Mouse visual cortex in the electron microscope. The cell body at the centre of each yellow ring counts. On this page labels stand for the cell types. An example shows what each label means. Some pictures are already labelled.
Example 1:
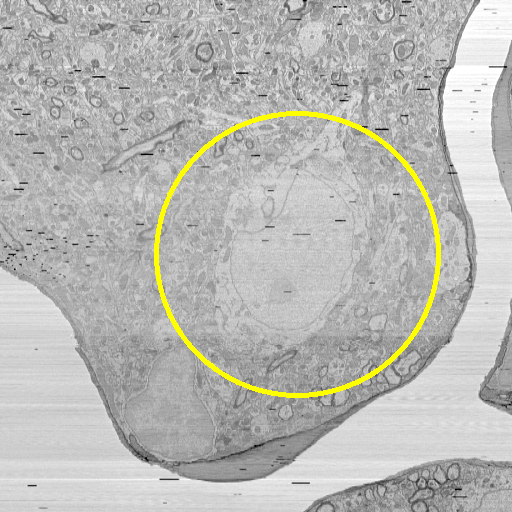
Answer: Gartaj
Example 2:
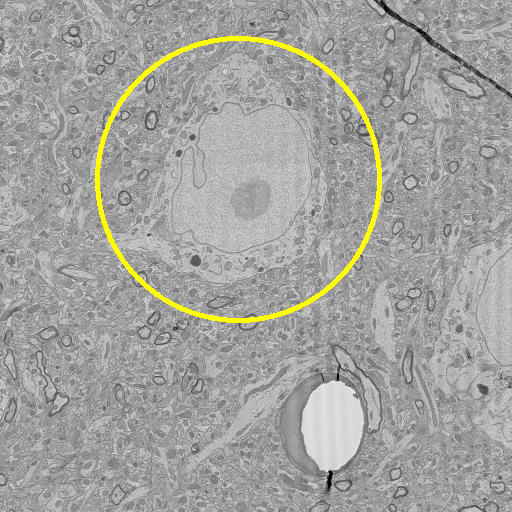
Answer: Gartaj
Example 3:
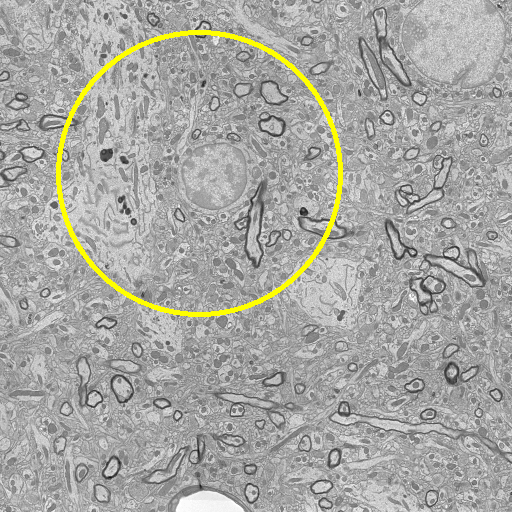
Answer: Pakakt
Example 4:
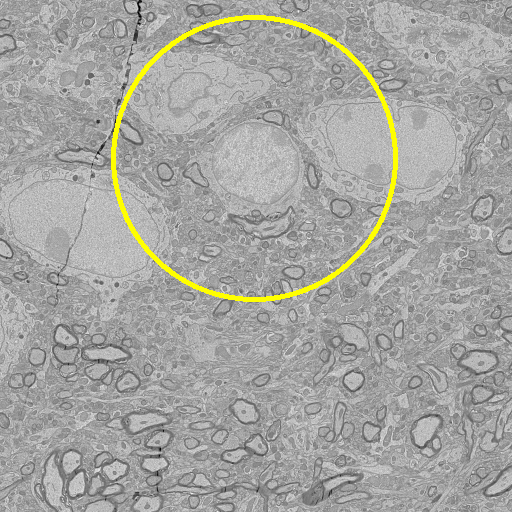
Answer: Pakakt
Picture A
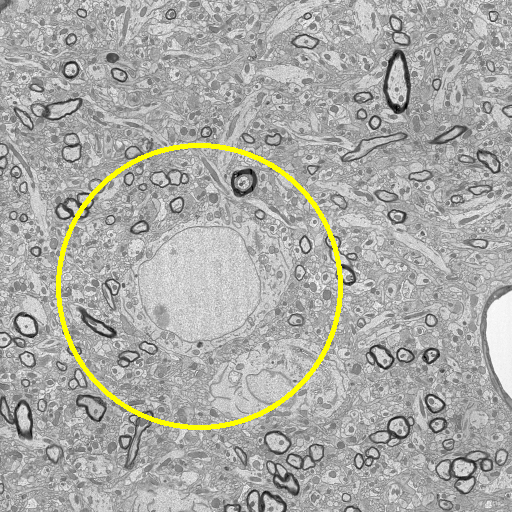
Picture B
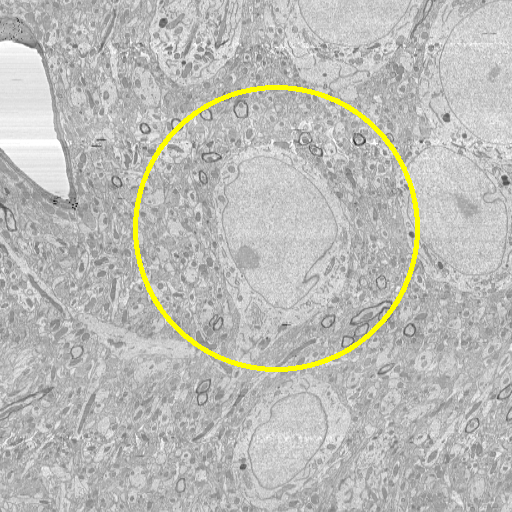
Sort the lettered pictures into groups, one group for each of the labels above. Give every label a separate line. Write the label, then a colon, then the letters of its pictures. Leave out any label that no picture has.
Gartaj: A, B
